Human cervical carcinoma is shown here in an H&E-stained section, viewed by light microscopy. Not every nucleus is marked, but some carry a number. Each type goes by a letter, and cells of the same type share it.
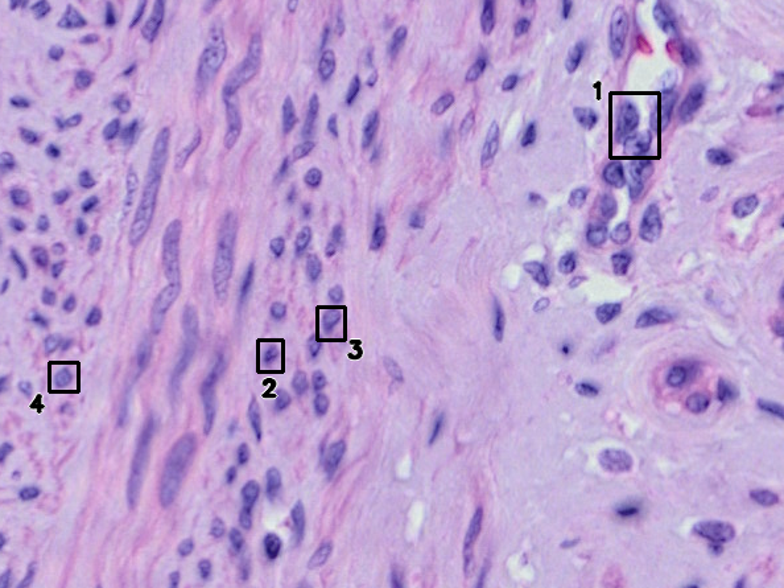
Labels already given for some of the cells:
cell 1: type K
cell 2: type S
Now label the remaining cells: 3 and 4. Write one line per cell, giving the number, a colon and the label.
3: type S
4: type S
